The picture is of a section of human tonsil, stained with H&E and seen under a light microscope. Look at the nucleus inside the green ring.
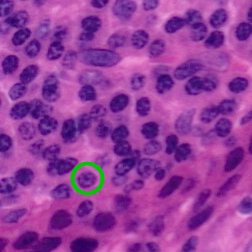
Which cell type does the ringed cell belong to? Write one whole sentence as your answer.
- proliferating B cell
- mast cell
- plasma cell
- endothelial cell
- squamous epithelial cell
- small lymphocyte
Students should answer that the ringed cell is a plasma cell.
